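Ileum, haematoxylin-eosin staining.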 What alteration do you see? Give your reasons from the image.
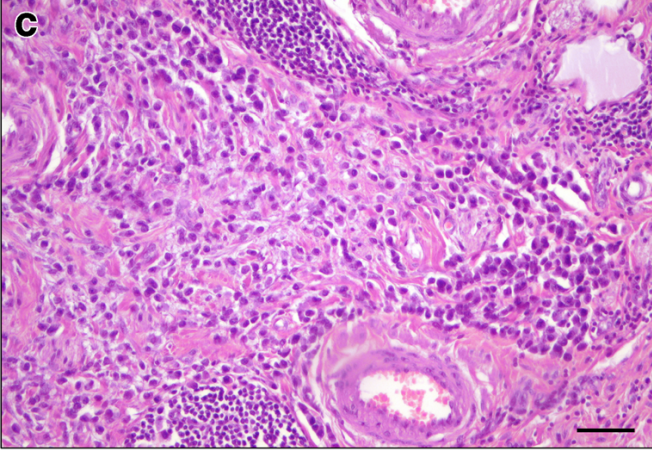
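Sheets of small, separate cells with dark nuclei and no gland formation. Thin pink fibrous strands lie between groups of cells. On this evidence: small dispersed, undifferentiated cells.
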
